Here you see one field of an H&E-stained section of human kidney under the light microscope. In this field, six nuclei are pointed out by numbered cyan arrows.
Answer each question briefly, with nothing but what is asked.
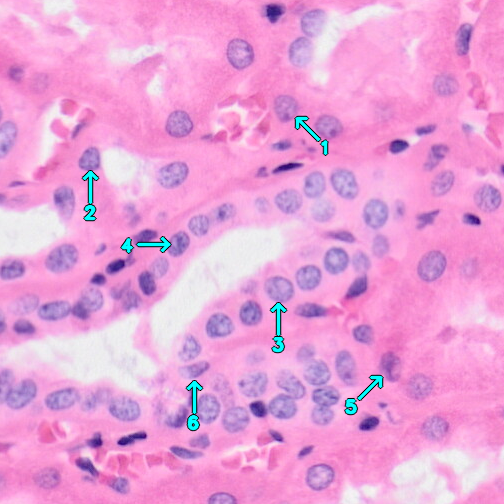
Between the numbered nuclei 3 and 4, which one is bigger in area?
3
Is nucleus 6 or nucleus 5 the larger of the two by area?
5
